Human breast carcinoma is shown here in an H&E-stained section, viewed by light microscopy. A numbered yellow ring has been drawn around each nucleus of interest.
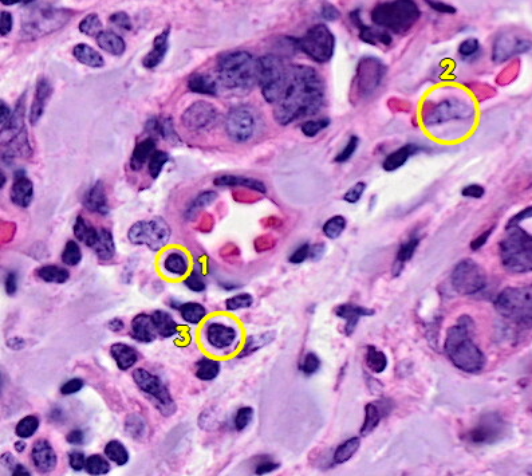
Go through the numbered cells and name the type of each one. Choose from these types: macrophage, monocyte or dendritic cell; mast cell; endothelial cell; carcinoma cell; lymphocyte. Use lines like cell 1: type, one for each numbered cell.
cell 1: lymphocyte
cell 2: endothelial cell
cell 3: lymphocyte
